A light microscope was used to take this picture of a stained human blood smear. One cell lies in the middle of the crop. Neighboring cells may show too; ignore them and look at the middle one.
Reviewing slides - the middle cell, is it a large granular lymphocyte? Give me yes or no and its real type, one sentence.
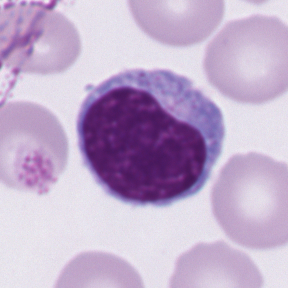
No, the central cell is properly termed a typical lymphocyte, not a large granular lymphocyte.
